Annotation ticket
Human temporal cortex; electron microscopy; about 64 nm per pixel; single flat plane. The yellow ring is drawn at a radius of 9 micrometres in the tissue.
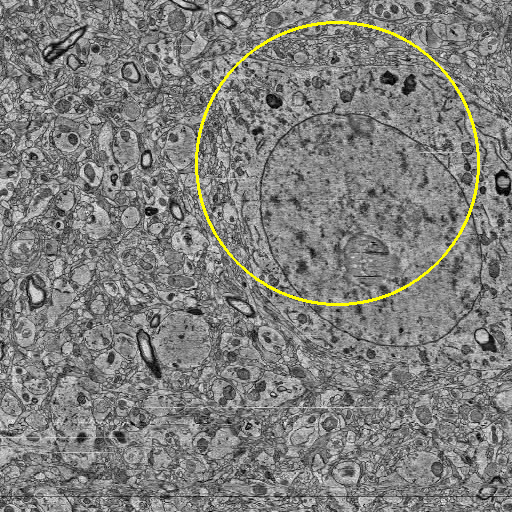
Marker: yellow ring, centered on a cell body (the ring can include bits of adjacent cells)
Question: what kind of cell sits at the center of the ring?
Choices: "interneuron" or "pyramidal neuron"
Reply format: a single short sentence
The ring is centered on a pyramidal neuron.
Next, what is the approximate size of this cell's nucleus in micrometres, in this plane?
Roughly 17 by 13 micrometres is the size of the nucleus in this plane.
